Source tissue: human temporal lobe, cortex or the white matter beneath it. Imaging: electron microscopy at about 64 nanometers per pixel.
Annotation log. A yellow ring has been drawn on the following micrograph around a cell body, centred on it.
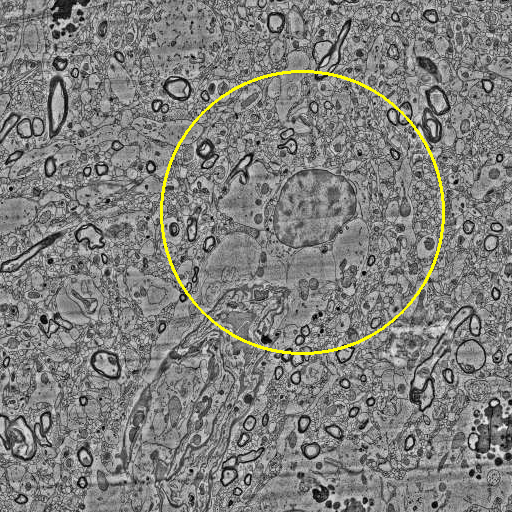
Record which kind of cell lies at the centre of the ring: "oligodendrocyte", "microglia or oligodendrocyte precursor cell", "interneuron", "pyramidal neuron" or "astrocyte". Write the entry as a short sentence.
The cell the ring is centred on is a microglial cell or oligodendrocyte precursor cell.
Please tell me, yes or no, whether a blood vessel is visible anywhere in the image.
Yes, a vessel shows somewhere in the image.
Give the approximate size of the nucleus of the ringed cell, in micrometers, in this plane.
In this plane the nucleus spans approximately 6 by 5 micrometers.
